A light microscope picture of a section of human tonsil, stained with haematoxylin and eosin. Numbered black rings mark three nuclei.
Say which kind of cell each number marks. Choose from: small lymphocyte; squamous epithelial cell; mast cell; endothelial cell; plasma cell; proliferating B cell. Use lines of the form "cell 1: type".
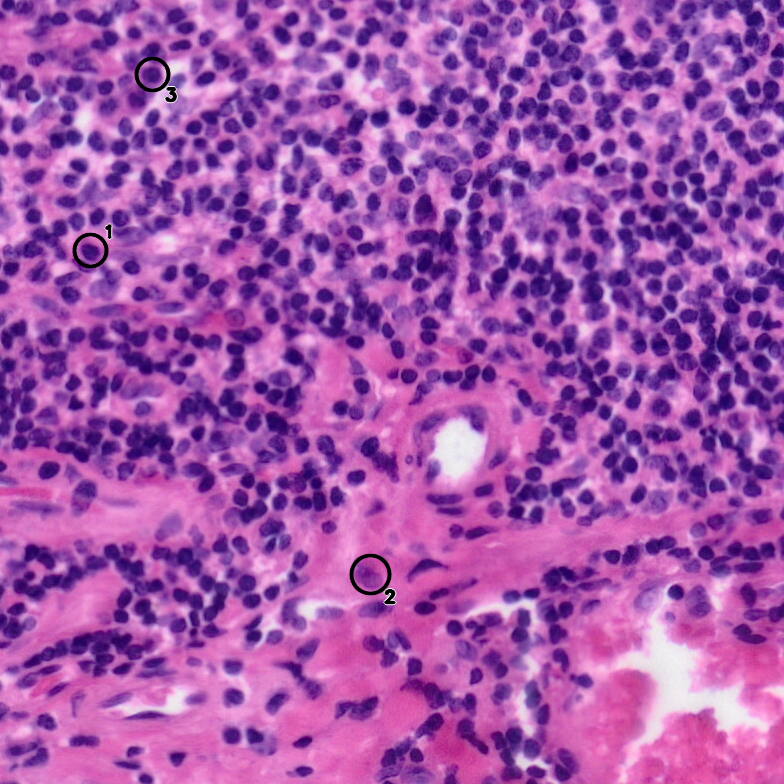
cell 1: plasma cell
cell 2: endothelial cell
cell 3: plasma cell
